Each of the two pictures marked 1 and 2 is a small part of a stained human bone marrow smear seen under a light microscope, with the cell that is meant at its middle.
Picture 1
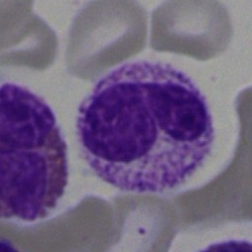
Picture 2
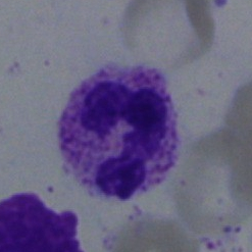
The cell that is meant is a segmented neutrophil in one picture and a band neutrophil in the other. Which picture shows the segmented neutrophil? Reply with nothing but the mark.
2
